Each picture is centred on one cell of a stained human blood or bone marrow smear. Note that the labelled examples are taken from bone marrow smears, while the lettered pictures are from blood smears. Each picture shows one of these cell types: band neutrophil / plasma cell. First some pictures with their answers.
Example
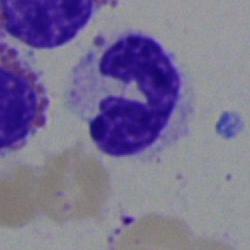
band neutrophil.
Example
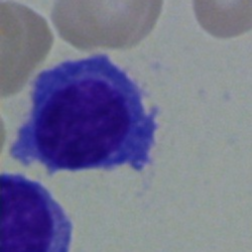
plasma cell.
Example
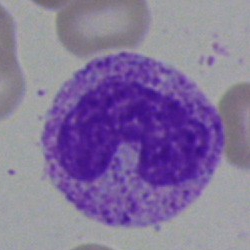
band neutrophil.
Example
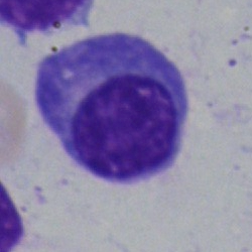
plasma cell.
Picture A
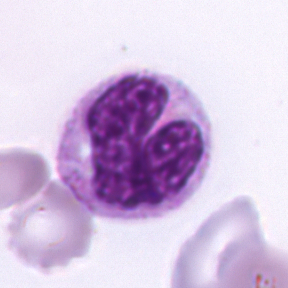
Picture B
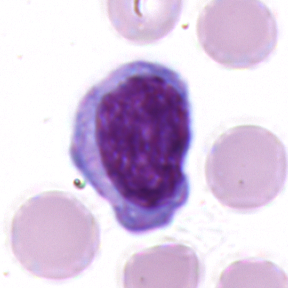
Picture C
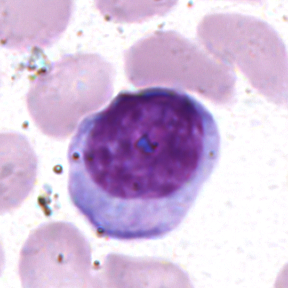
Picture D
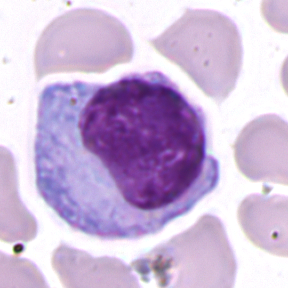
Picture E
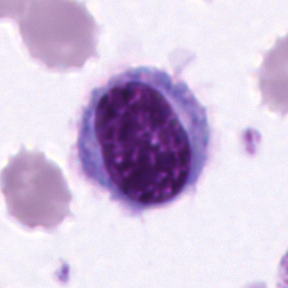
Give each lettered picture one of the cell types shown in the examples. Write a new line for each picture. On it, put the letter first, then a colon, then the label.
A: band neutrophil.
B: plasma cell.
C: plasma cell.
D: plasma cell.
E: plasma cell.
